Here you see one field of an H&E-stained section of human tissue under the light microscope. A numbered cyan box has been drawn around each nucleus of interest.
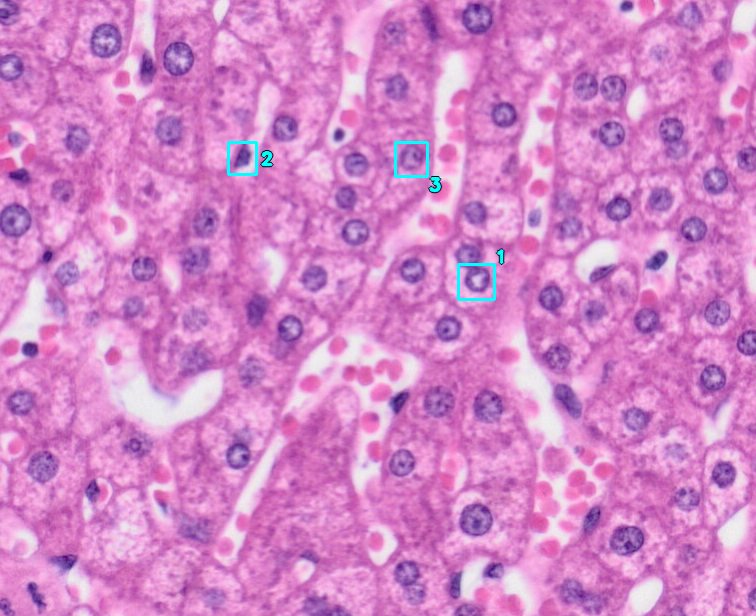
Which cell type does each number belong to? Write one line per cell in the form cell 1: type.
cell 1: hepatocyte
cell 2: endothelial cell
cell 3: hepatocyte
